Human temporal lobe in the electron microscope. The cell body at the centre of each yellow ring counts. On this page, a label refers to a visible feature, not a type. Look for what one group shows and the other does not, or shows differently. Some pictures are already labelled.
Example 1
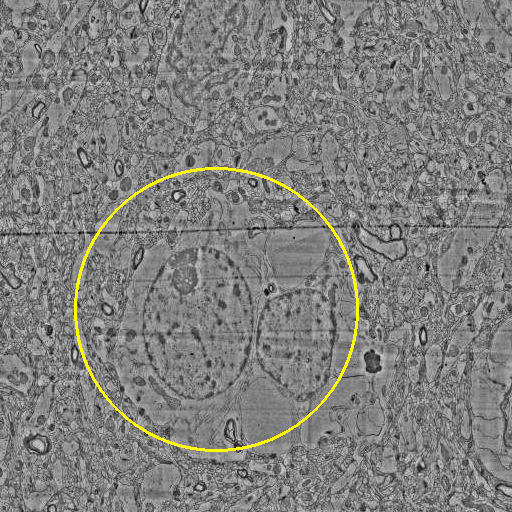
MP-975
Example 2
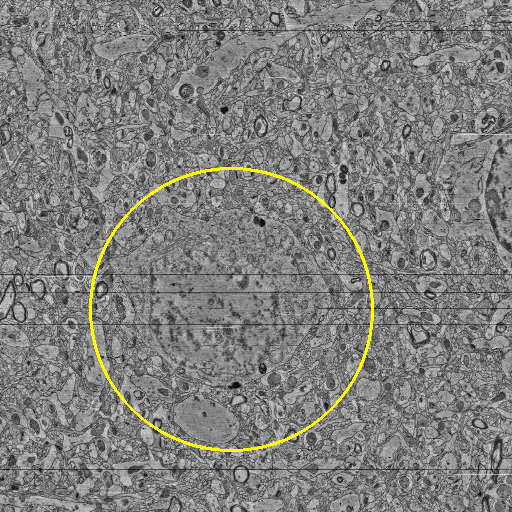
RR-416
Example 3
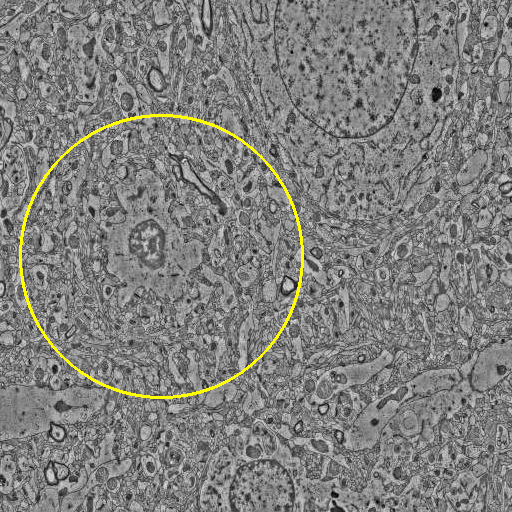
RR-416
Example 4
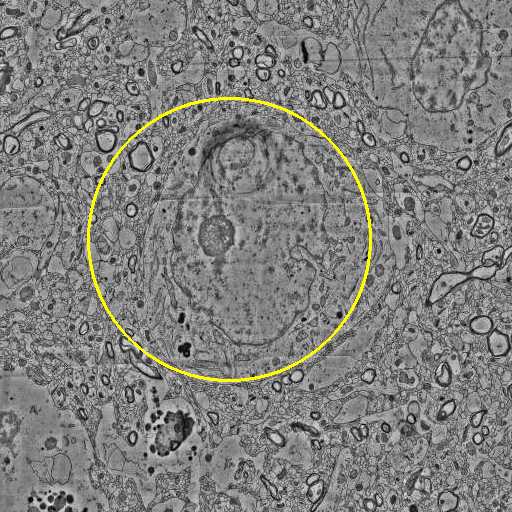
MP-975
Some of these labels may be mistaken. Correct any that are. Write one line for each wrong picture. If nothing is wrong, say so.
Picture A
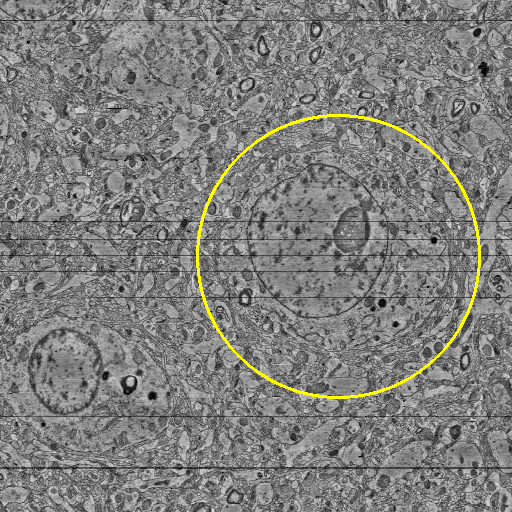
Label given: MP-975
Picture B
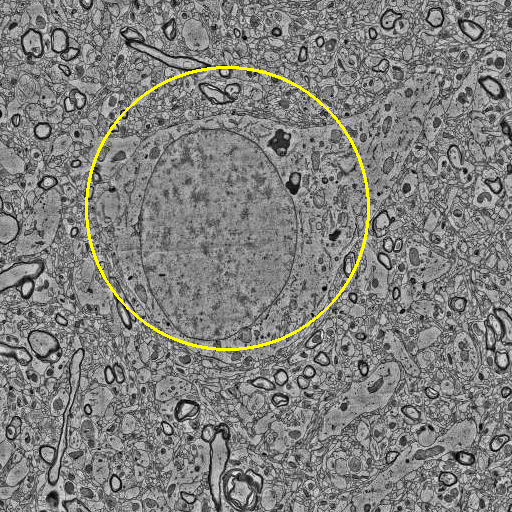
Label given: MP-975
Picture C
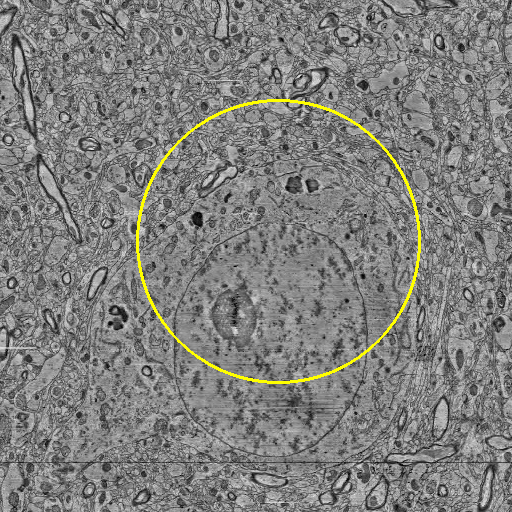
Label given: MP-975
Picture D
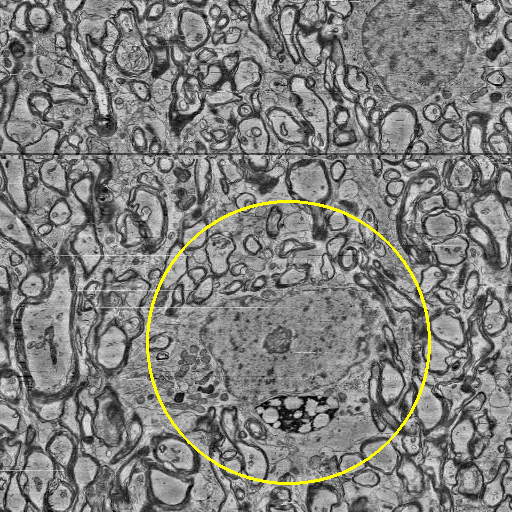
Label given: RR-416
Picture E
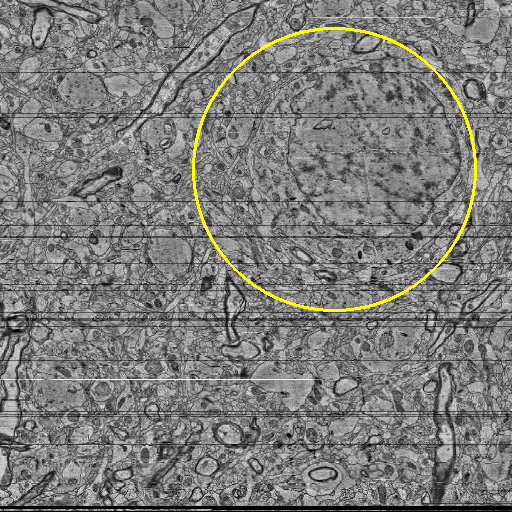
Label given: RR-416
Wrong: B (MP-975); correct: RR-416
Wrong: D (RR-416); correct: MP-975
